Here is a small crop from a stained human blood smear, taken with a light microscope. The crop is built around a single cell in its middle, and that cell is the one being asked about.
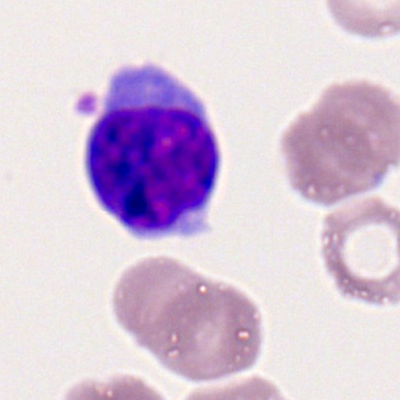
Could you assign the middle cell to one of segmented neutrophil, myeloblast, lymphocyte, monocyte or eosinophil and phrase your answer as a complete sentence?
For this crop, the cell in the middle is a lymphocyte.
